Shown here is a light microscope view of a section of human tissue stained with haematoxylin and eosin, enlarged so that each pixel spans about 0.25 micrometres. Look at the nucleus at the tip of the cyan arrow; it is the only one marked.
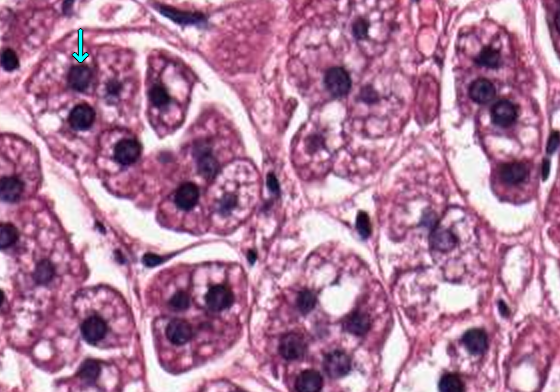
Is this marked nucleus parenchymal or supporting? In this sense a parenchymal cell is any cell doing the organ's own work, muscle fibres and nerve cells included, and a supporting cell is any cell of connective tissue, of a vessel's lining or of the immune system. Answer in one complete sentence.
On this slide the marked nucleus belongs to a parenchymal cell, namely an adrenal cortical cell.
